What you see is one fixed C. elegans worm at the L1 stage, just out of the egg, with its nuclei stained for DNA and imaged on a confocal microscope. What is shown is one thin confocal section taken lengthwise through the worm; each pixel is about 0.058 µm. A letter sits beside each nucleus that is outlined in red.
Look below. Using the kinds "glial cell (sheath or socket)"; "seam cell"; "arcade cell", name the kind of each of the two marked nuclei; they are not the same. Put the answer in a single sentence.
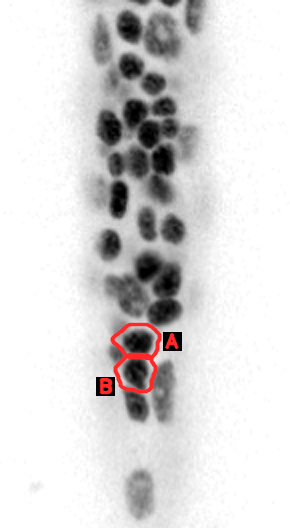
The nucleus A is that of a glial cell (sheath or socket), while B is that of an arcade cell.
